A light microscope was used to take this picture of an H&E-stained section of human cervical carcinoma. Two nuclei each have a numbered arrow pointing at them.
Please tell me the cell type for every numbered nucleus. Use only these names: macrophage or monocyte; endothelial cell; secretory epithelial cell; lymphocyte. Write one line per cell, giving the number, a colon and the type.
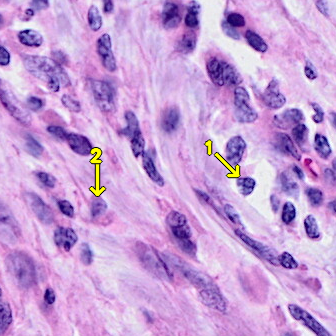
1: lymphocyte
2: macrophage or monocyte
